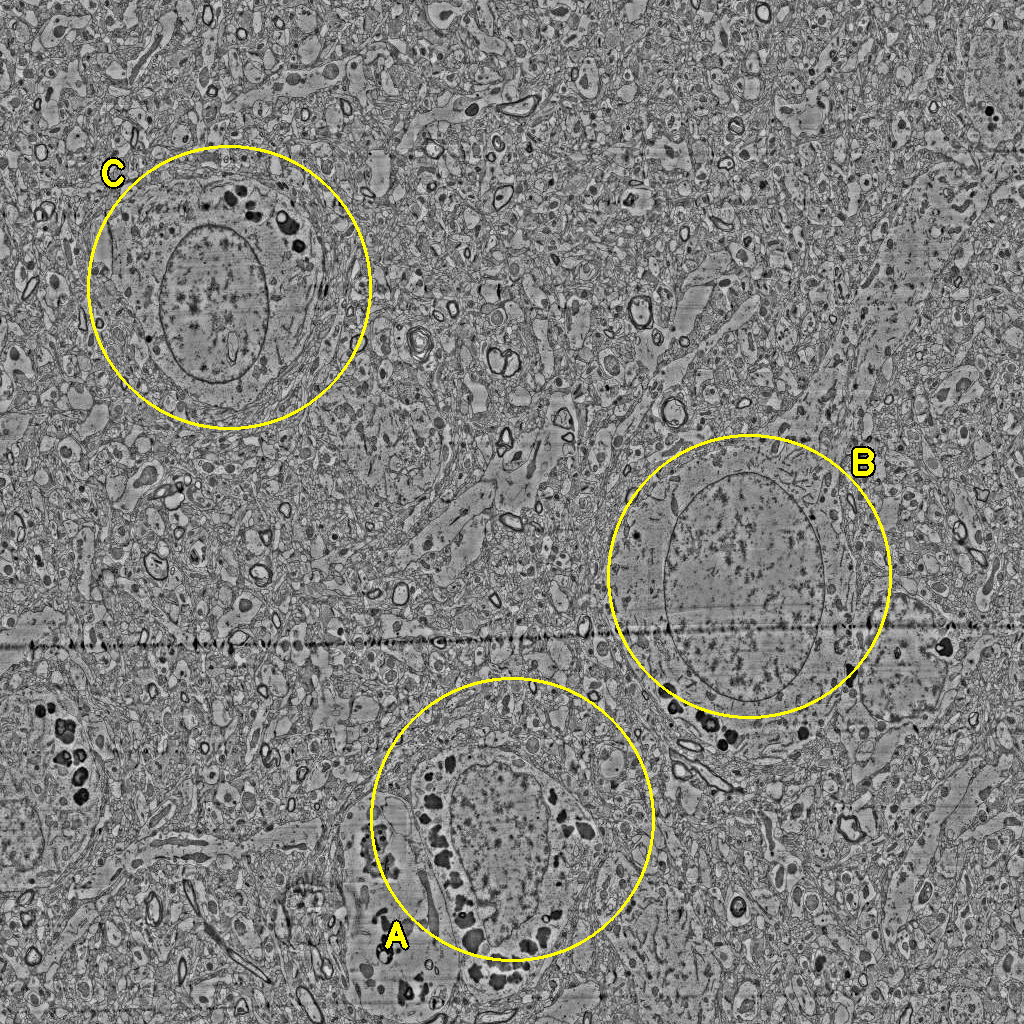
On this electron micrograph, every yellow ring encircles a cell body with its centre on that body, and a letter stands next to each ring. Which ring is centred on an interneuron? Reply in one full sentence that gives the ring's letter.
Ring A is the ring that has the cell asked for in its centre.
